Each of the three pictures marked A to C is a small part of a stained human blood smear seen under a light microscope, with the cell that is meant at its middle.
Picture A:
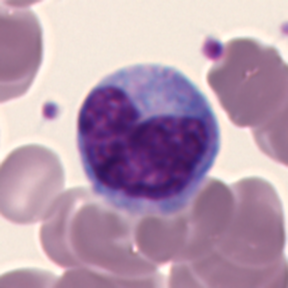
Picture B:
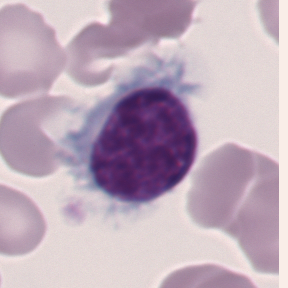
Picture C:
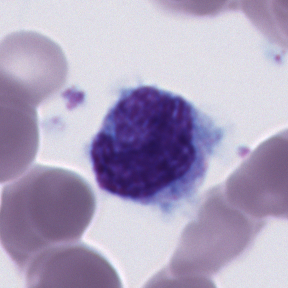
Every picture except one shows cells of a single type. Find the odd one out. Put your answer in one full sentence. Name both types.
Picture B differs, because its cell is a hairy cell and the rest are monocytes.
